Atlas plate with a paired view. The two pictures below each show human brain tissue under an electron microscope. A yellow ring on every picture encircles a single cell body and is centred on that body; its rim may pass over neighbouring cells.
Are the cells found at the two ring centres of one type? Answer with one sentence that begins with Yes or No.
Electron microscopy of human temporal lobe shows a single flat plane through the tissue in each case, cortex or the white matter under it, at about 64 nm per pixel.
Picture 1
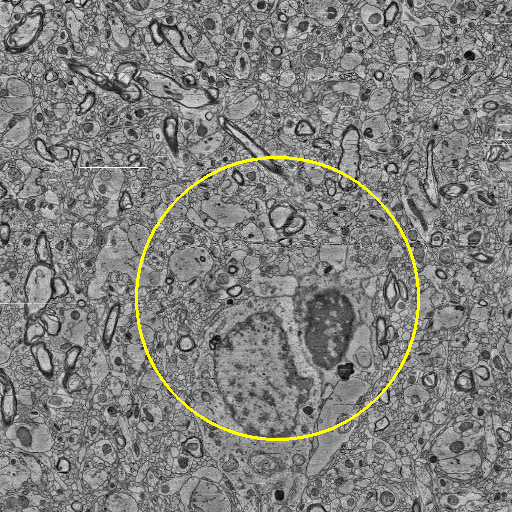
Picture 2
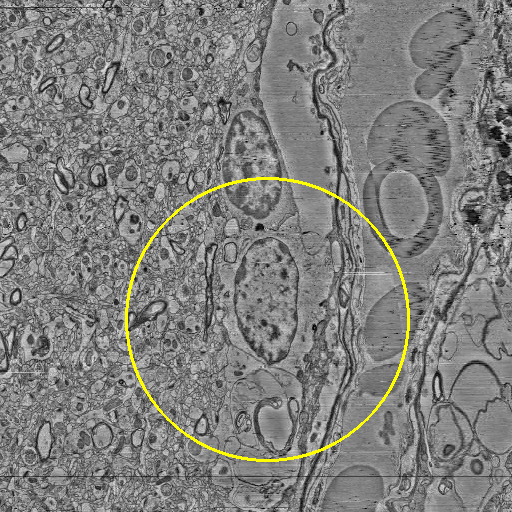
Yes, the two cells lying at the centres of the rings share a single type.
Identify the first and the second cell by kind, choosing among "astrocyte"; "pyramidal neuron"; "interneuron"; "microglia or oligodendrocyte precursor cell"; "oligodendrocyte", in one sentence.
Each of the two pictures has a microglial cell or oligodendrocyte precursor cell at the ring centre.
